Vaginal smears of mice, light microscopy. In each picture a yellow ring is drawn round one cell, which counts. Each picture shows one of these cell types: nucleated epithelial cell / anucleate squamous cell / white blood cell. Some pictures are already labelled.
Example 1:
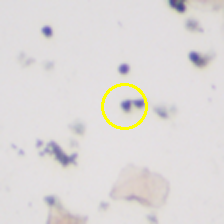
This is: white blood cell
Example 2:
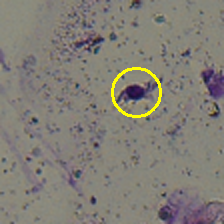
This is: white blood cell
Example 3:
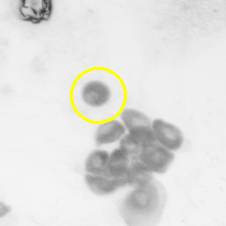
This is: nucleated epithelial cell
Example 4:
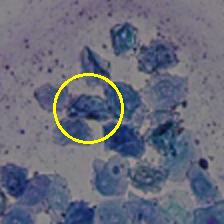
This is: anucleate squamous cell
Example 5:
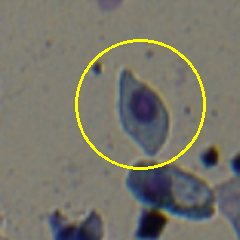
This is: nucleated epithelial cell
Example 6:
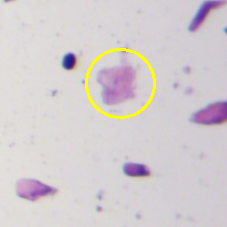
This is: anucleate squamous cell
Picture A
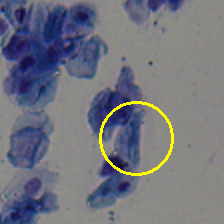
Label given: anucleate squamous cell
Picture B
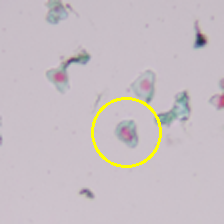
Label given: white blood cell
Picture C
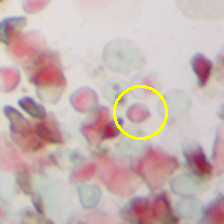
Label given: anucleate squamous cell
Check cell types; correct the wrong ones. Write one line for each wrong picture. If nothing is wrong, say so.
B: nucleated epithelial cell, not white blood cell
C: nucleated epithelial cell, not anucleate squamous cell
